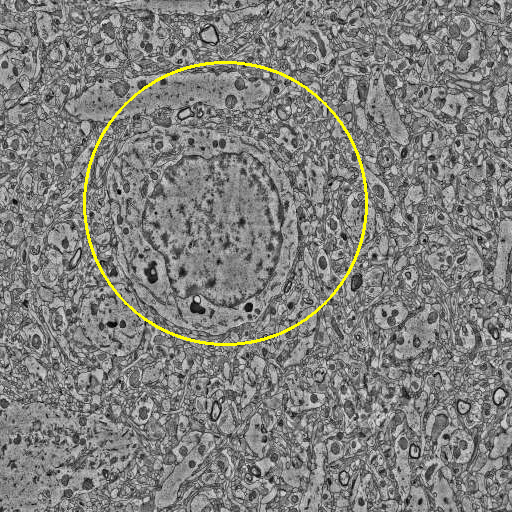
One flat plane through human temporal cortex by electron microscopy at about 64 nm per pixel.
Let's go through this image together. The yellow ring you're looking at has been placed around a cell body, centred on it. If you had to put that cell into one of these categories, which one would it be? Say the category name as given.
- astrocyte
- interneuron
interneuron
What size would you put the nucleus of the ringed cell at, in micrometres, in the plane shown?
In this plane the nucleus measures roughly 10 micrometres across.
